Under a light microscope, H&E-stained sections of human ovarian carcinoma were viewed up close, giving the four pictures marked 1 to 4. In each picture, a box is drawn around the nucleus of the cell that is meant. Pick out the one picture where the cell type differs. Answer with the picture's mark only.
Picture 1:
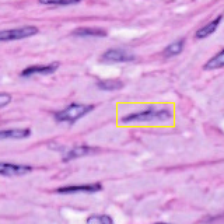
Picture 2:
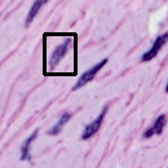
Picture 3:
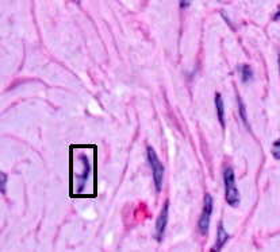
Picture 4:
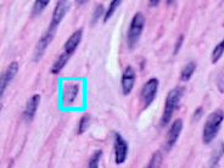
4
